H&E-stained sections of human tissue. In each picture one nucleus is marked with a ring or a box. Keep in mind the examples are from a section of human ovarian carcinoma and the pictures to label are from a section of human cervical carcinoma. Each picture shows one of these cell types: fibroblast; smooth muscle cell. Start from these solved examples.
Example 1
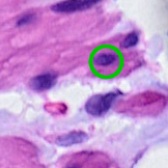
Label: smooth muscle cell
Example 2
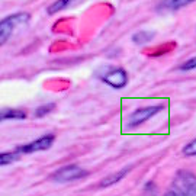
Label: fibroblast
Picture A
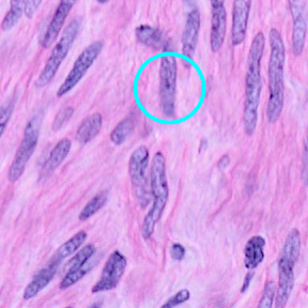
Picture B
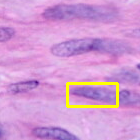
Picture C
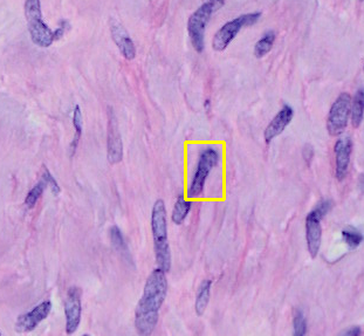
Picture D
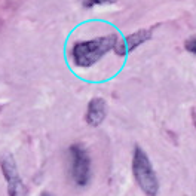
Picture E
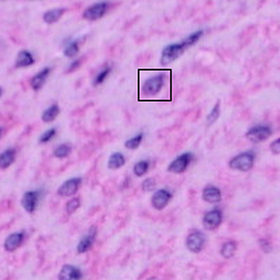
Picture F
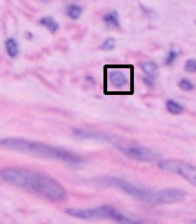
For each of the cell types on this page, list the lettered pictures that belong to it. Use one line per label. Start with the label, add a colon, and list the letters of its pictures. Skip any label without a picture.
fibroblast: C, D
smooth muscle cell: A, B, E, F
